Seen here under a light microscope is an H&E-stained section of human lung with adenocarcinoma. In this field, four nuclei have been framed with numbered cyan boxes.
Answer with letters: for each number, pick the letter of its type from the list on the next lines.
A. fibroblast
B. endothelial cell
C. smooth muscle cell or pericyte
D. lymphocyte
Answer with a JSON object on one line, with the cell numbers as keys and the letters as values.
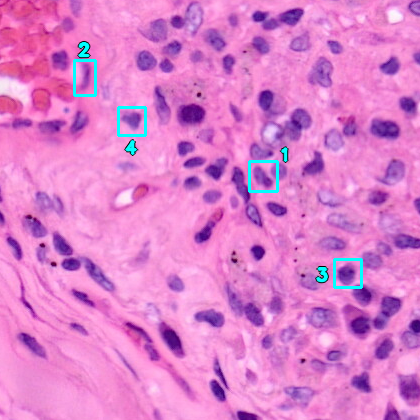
{"1": "D", "2": "B", "3": "D", "4": "D"}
